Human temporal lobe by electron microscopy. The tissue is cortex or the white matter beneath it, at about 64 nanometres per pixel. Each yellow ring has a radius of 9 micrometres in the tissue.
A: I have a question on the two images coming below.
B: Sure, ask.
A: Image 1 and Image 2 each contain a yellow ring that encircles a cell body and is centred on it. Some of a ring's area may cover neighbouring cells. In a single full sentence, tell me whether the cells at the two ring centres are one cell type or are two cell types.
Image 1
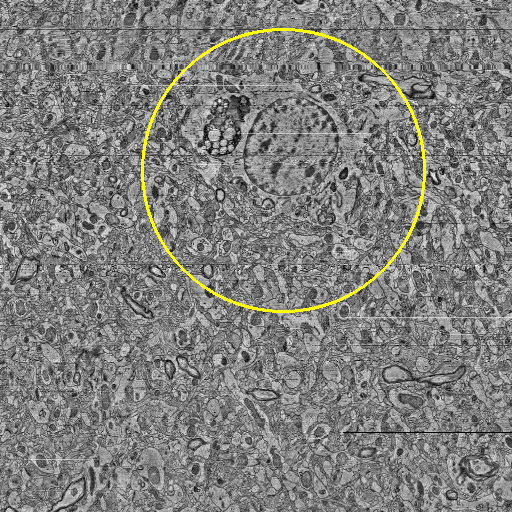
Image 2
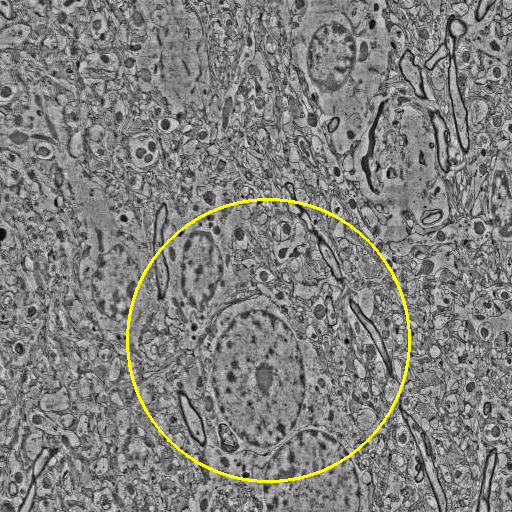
As for the ring-centre cells, the one in Image 1 and the one in Image 2 are one cell type.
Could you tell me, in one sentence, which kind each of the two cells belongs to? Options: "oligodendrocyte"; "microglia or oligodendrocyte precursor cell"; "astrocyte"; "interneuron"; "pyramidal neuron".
Each of the ringed cells, first and second, is an astrocyte.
